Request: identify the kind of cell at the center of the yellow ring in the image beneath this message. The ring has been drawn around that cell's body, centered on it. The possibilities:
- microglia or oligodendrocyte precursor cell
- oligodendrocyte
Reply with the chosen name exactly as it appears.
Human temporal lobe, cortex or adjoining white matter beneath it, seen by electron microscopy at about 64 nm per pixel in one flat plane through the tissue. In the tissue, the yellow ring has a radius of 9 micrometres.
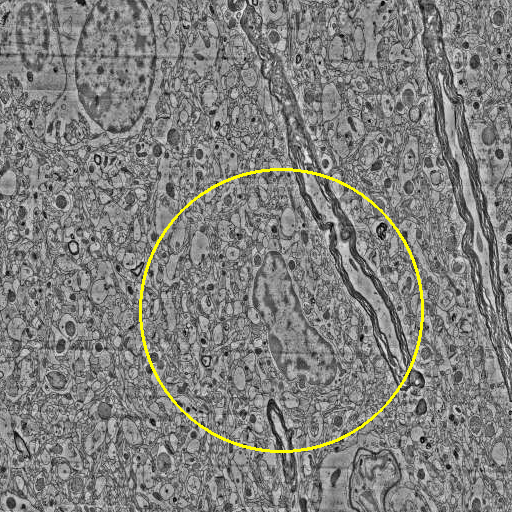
microglia or oligodendrocyte precursor cell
